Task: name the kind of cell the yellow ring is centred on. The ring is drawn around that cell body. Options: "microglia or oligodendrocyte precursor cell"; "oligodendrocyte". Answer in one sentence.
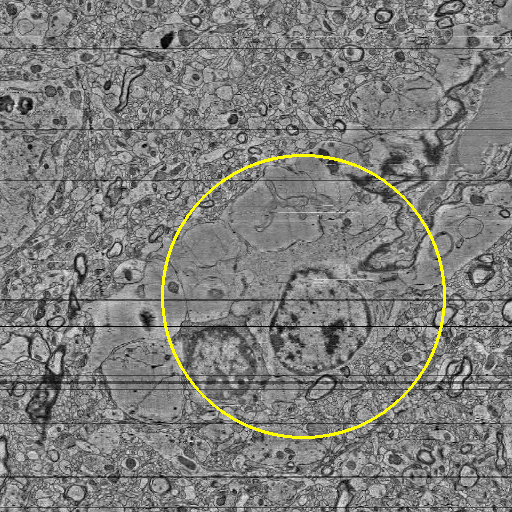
This cell body belongs to a microglial cell or oligodendrocyte precursor cell.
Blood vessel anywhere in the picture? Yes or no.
Yes.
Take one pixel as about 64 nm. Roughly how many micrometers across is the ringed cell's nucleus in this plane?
In this plane the ringed cell's nucleus is roughly 7 micrometres across.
